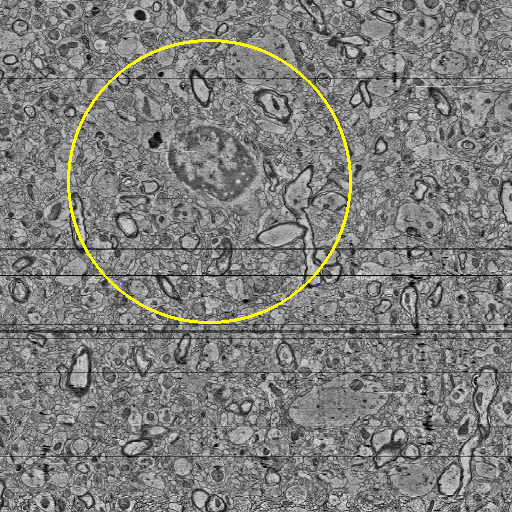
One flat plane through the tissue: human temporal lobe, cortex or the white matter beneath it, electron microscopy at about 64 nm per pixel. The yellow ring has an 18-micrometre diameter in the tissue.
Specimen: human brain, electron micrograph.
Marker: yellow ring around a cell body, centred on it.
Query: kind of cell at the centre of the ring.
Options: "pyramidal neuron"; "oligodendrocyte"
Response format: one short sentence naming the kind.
This cell body belongs to an oligodendrocyte.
